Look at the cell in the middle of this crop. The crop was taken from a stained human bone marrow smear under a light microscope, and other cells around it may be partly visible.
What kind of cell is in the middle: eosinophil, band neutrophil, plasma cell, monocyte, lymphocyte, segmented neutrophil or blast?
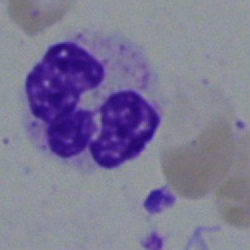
segmented neutrophil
